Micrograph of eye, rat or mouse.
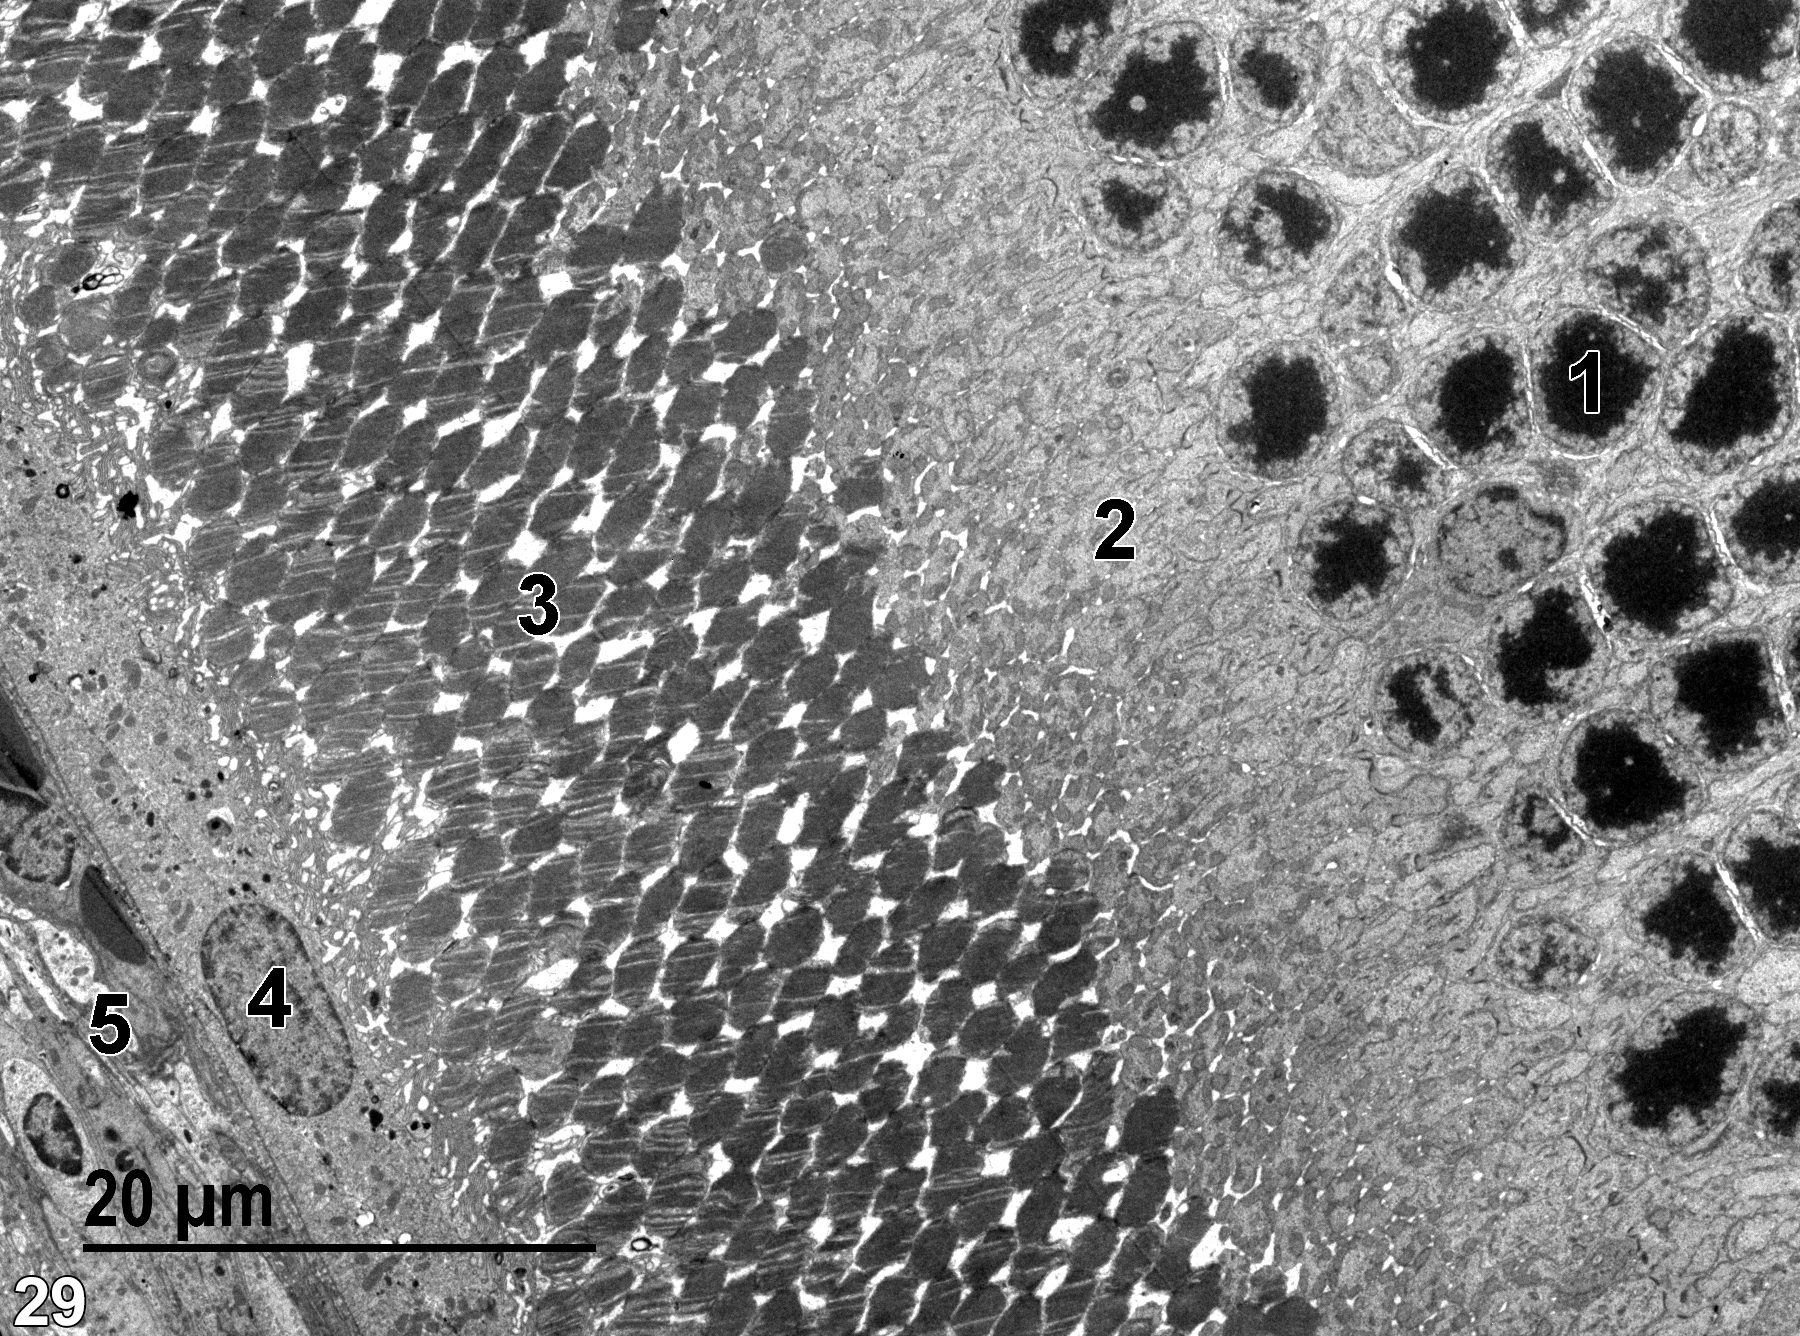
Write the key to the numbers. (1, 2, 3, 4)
(1) outer nuclear layer
(2) inner segments of rods and cones
(3) outer segments of rods and cones
(4) pigmented epithelium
